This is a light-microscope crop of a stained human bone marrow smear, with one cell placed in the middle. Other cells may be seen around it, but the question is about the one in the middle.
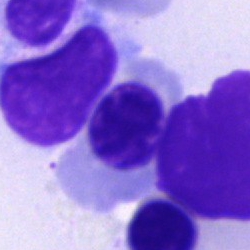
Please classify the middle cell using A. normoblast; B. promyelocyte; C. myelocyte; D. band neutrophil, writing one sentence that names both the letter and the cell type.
This one is option A, since the cell at the center is a normoblast.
